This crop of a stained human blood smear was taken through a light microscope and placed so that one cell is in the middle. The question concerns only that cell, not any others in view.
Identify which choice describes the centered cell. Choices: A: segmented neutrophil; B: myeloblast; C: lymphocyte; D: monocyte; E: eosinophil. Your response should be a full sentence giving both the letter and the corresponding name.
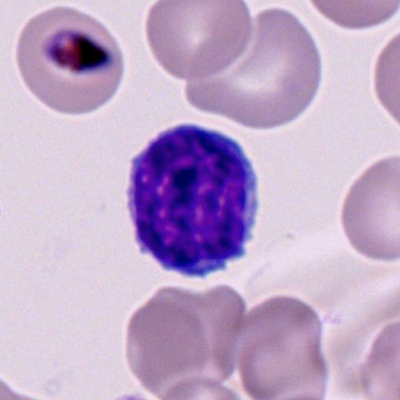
Option C holds, for the cell in the middle is a lymphocyte.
